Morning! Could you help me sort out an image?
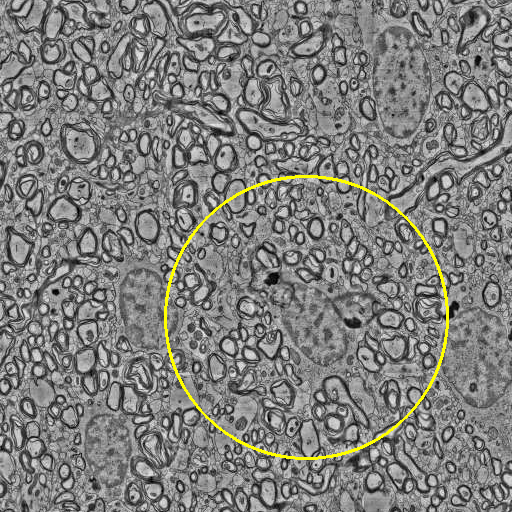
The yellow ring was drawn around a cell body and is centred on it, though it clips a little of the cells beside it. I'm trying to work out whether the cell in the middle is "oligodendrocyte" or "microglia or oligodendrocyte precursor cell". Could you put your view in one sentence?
The ringed cell body is that of an oligodendrocyte.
